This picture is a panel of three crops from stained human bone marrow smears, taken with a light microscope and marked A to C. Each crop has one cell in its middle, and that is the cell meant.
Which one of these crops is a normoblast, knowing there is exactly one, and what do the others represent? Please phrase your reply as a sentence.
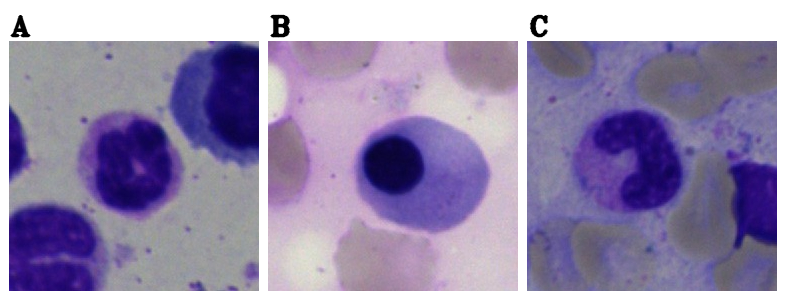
Crop B counts as a normoblast, while crop A is a segmented neutrophil and crop C is a band neutrophil.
